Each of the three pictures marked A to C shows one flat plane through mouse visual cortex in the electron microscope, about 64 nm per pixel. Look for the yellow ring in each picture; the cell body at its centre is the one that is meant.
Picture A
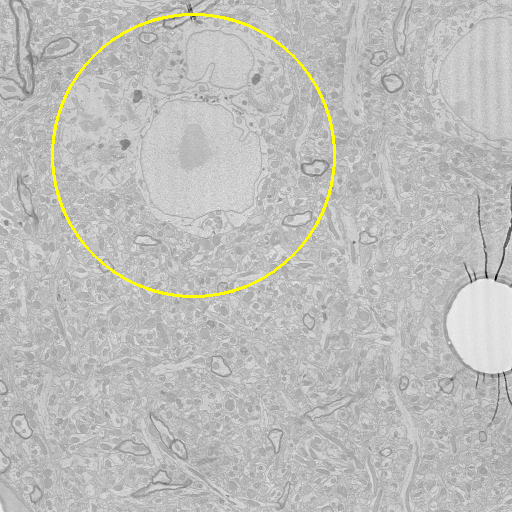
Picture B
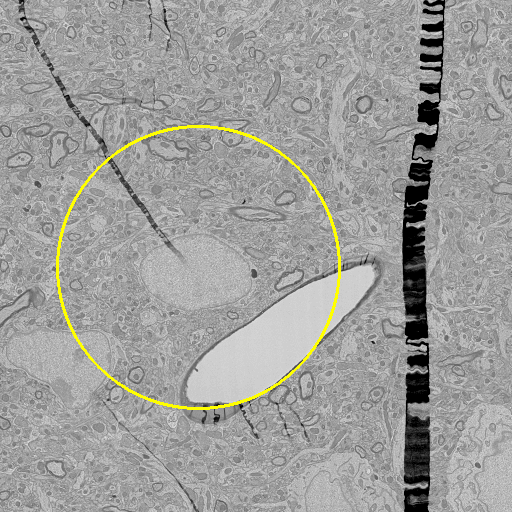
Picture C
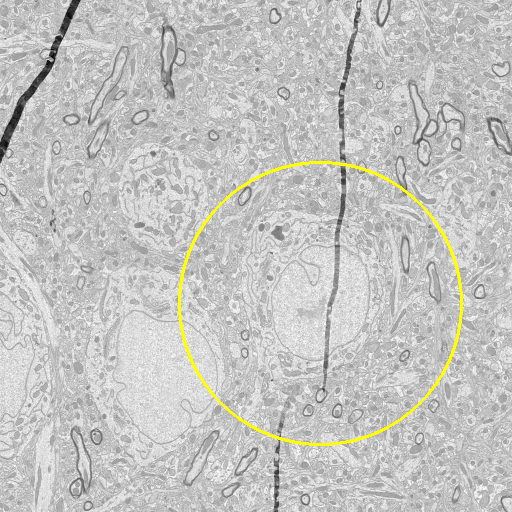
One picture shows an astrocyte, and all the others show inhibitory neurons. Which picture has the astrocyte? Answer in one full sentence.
The cell in picture B is the astrocyte.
